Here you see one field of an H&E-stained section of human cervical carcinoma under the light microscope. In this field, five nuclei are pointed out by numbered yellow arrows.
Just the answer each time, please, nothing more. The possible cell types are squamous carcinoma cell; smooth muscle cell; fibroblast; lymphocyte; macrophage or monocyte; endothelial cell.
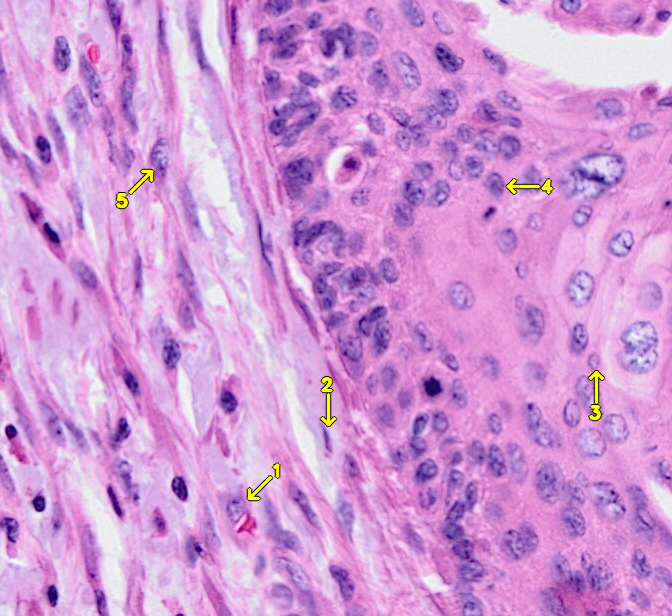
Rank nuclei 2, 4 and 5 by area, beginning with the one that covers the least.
2, 4, 5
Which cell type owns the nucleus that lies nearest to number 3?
squamous carcinoma cell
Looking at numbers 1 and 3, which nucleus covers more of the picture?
1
